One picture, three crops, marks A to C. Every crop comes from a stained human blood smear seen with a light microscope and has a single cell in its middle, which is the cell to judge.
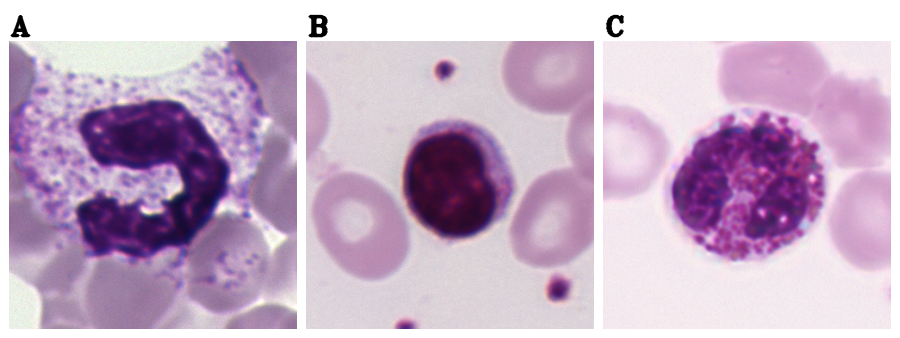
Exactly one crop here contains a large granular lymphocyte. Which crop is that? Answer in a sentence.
Crop B is the crop containing a large granular lymphocyte.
